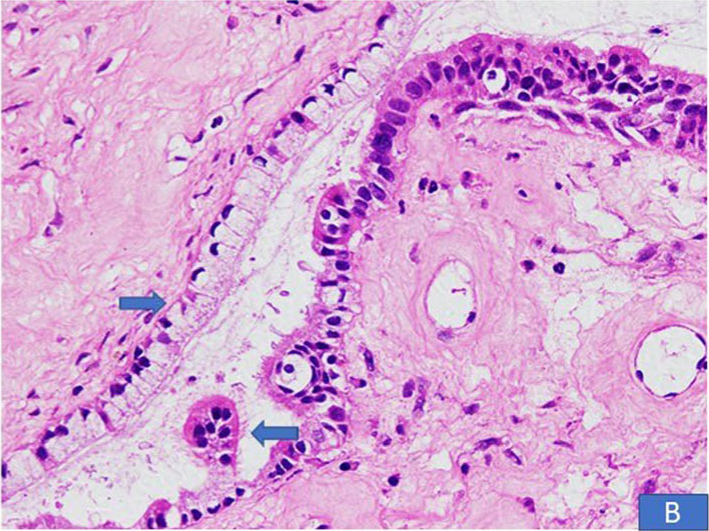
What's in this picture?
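Two kinds of epithelium sit in the same field over loose, pale pink stroma with small vessels. On the left, a single row of tall columnar cells has clear, pale cytoplasm filled with mucin and small dark nuclei at the bases, like endocervical mucinous epithelium. To the right, the lining and a small budding cluster consist of cells with denser pink cytoplasm and larger, darker, crowded nuclei, some layered, like serous-type epithelium. The two linings lie next to each other, separated by a narrow space. Mixed mucinous and serous-type epithelium in one field fits a seromucinous tumor.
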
